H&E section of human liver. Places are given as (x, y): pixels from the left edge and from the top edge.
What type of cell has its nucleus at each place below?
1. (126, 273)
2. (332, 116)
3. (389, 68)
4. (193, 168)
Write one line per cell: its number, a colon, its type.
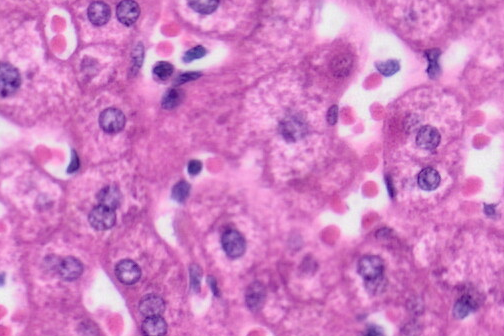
1: hepatocyte
2: Kupffer cell
3: lymphocyte
4: lymphocyte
